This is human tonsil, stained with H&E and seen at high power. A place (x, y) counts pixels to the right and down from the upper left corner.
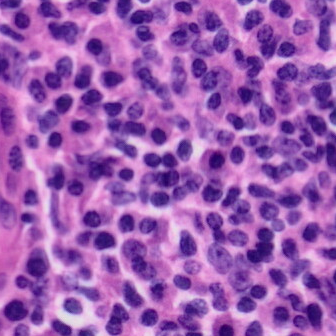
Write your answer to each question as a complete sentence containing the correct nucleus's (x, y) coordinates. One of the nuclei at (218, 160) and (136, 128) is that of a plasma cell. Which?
The nucleus at (218, 160) is housed in a plasma cell.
